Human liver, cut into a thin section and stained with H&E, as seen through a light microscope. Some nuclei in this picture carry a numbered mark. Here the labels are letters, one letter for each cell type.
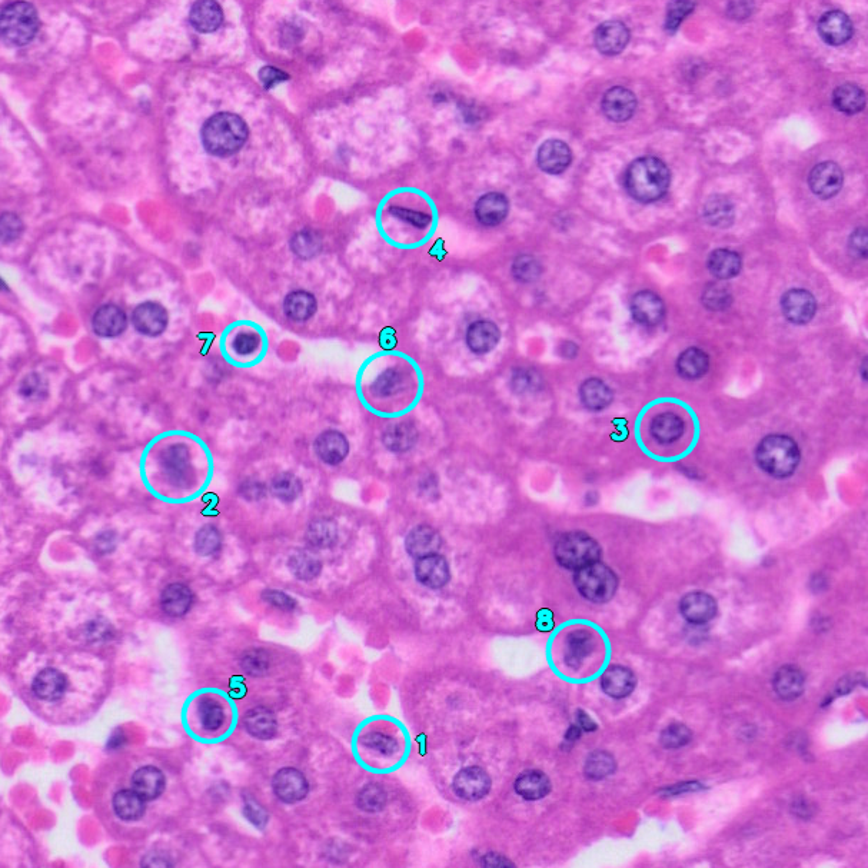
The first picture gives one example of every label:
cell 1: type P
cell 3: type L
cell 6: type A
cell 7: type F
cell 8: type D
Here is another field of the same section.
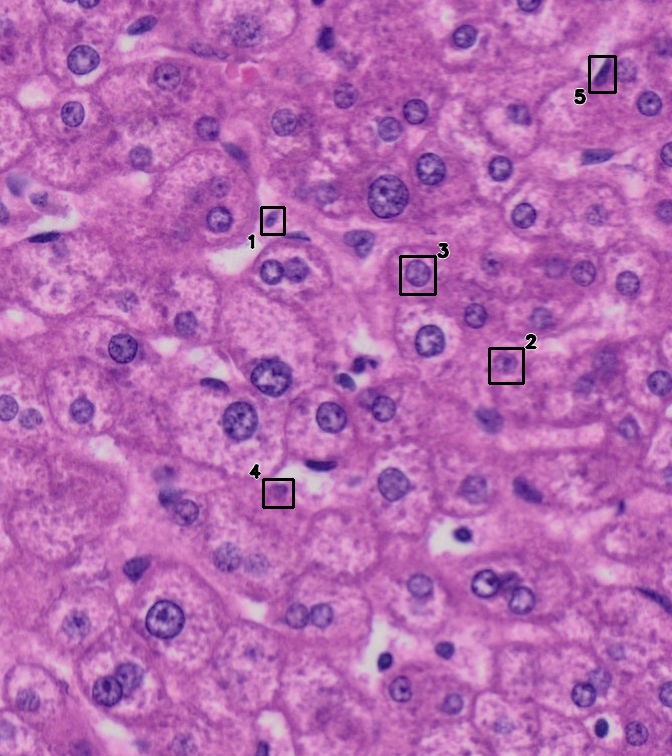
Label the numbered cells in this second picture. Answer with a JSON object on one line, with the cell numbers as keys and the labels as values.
{"1": "type F", "2": "type L", "3": "type L", "4": "type P", "5": "type D"}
